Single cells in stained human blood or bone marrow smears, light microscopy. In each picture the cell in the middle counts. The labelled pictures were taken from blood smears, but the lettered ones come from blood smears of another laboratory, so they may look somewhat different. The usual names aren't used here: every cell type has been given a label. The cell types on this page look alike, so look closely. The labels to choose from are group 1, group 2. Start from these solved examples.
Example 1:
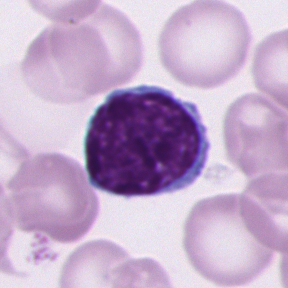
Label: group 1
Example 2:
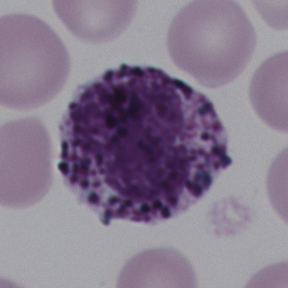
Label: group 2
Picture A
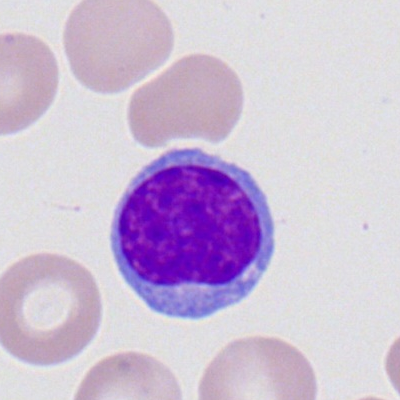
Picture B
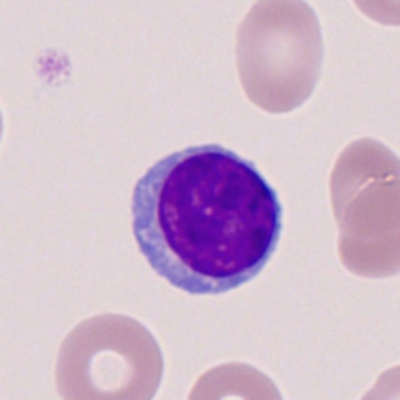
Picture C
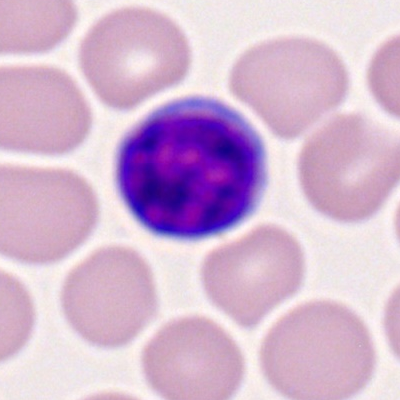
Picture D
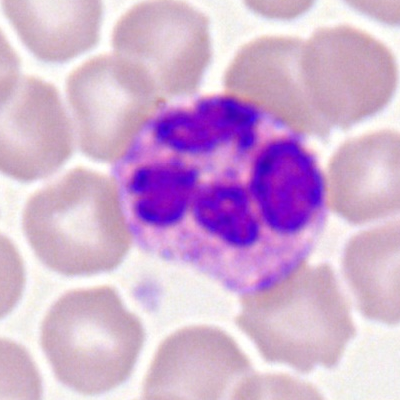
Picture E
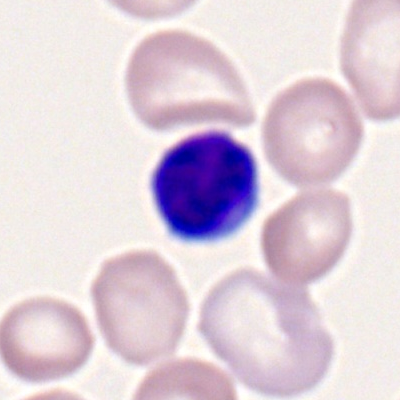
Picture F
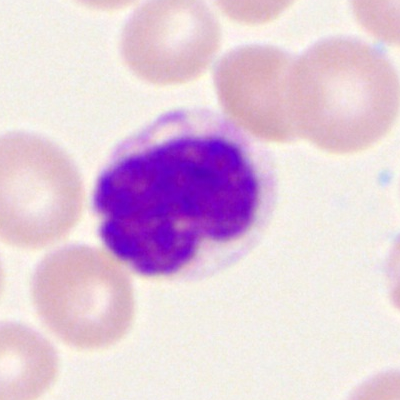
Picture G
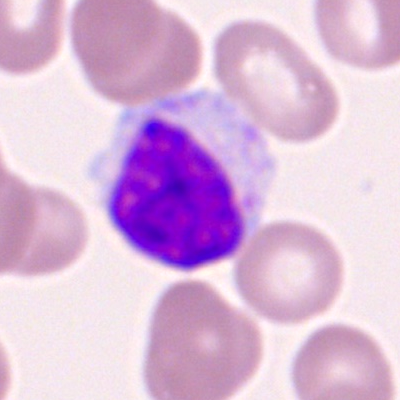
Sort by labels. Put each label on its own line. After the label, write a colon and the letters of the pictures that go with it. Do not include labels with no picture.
group 1: A, B, C, E, G
group 2: D, F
